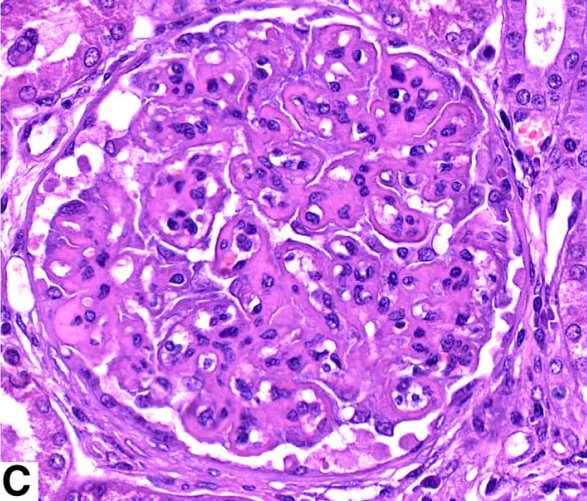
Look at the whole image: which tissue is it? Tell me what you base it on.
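A large lobulated capillary tuft lies inside a capsule. Tubules surround the tuft. So: glomerulus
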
